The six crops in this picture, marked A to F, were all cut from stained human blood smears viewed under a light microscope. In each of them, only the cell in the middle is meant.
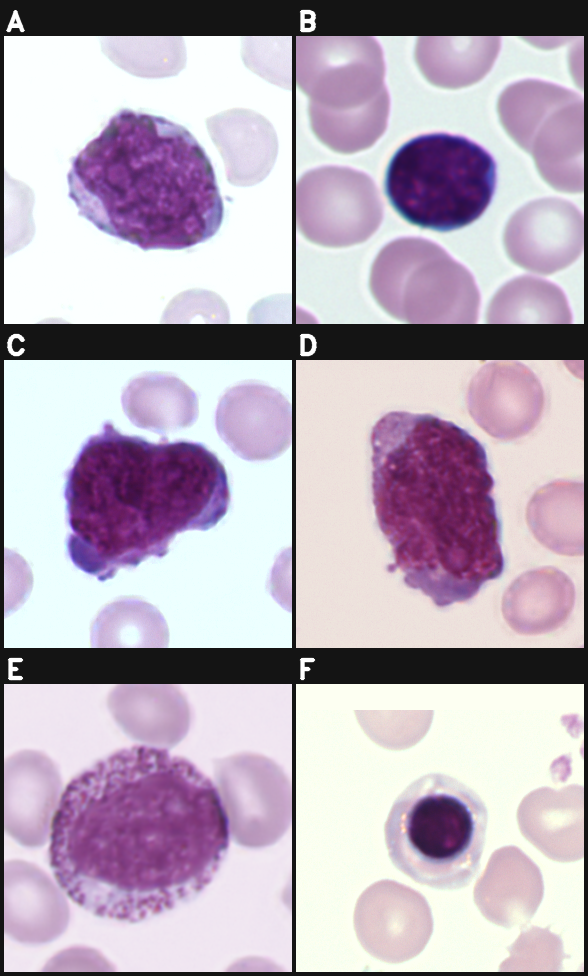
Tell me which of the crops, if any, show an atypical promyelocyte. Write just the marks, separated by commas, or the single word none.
A, C, D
